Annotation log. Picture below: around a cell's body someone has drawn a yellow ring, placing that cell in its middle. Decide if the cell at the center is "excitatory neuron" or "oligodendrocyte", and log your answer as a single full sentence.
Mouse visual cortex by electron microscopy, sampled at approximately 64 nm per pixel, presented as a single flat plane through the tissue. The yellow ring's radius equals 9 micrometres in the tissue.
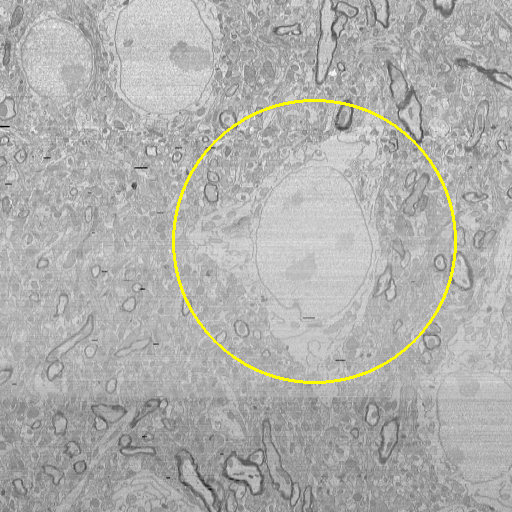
My entry records an excitatory neuron as the cell sitting at the center of the yellow ring.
